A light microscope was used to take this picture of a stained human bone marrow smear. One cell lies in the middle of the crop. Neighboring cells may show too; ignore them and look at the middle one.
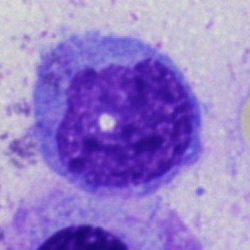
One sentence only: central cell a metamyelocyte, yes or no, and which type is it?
No, the middle cell is classified as a monocyte and not as a metamyelocyte.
